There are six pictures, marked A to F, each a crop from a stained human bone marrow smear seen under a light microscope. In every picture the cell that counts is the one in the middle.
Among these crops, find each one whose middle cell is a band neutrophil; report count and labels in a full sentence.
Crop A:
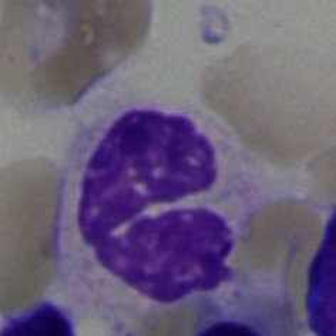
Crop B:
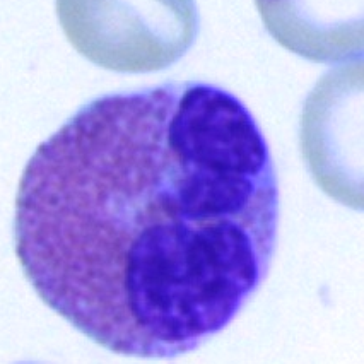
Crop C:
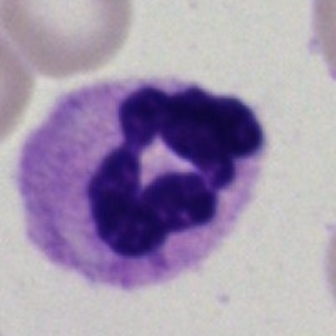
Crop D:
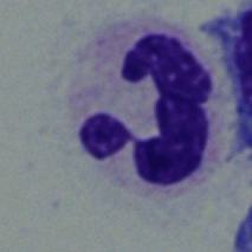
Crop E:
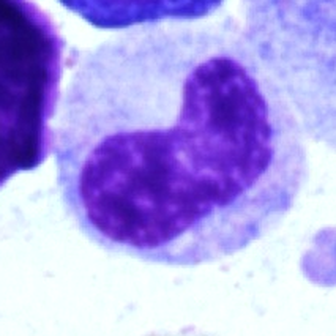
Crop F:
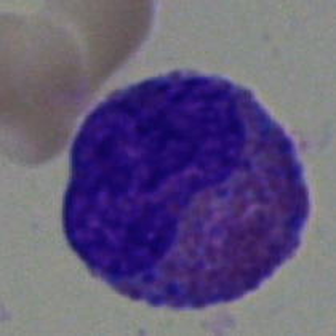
Crop E alone shows a band neutrophil at its centre.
